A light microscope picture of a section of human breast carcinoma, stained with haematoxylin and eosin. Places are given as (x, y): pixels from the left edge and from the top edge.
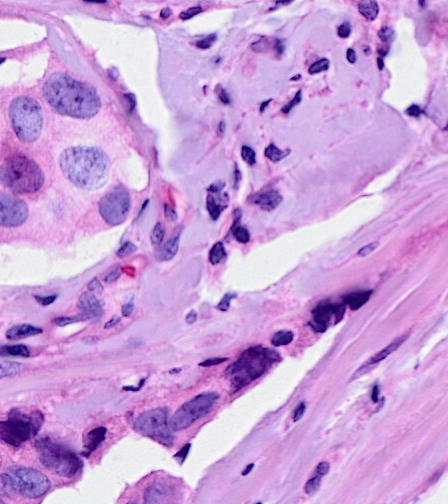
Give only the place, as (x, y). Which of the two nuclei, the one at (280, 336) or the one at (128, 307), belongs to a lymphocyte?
(280, 336)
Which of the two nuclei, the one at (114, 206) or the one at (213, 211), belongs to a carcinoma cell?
(114, 206)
